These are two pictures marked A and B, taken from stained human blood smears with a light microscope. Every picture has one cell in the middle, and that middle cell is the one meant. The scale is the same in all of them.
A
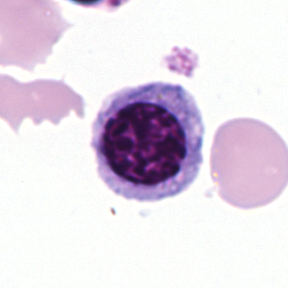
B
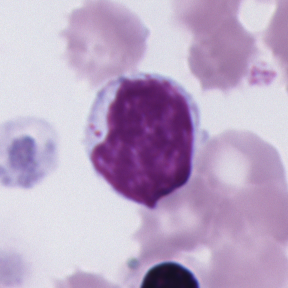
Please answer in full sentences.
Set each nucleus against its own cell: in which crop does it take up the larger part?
It is the cell in crop B that is filled more by its nucleus.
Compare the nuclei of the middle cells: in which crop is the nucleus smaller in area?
Crop A shows the smaller nucleus, since that in crop B covers about 1.5 times as much area.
